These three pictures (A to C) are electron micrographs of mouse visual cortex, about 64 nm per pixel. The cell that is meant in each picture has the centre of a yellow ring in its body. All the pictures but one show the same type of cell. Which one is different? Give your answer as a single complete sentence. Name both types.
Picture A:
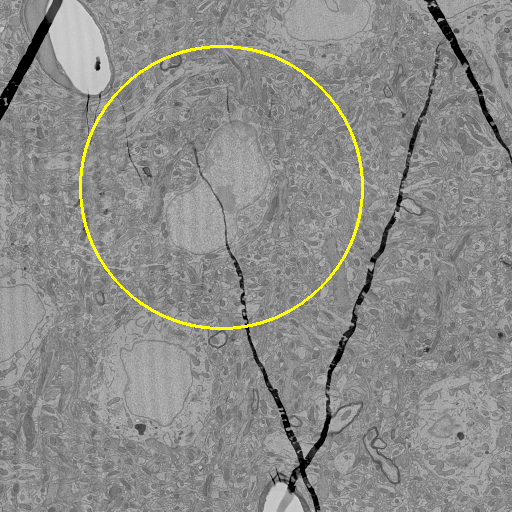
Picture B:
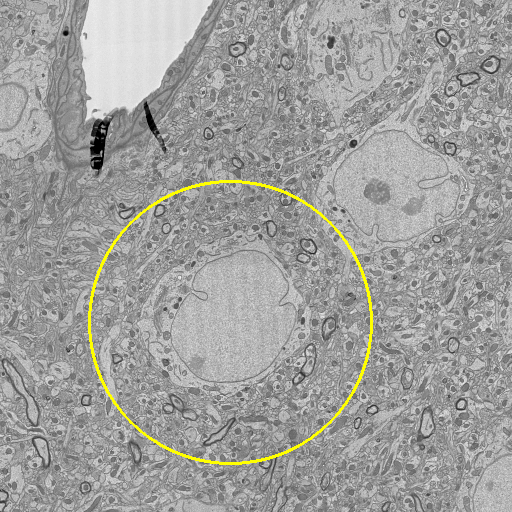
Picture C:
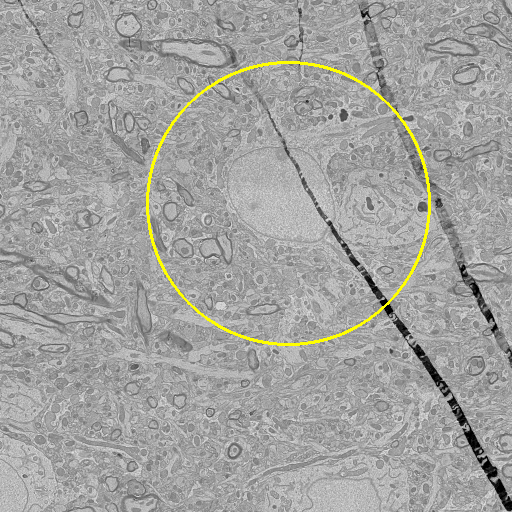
The different one is picture B; it shows an excitatory neuron, whereas all the others show astrocytes.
